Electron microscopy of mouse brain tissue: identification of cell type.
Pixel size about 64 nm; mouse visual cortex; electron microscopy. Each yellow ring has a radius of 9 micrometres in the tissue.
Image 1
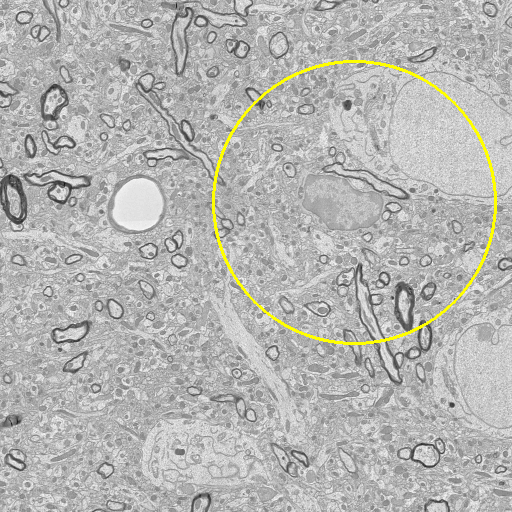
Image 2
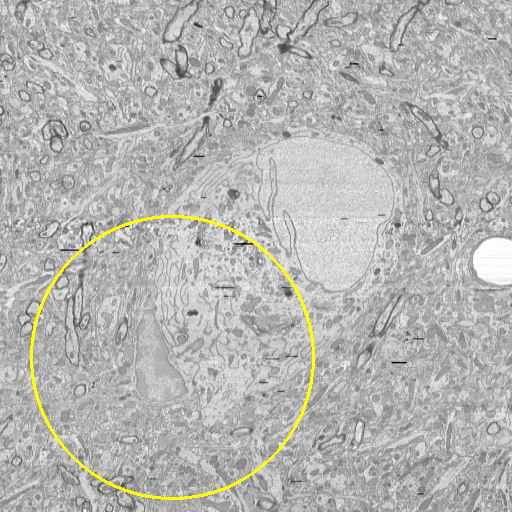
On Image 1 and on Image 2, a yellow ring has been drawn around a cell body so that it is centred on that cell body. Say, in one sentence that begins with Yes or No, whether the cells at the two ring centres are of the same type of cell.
Yes, both cells are the same type of cell.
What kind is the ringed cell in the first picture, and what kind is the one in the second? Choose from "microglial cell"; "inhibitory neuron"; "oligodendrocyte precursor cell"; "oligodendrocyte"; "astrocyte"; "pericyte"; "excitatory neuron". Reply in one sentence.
Each of the ringed cells, first and second, is a microglial cell.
